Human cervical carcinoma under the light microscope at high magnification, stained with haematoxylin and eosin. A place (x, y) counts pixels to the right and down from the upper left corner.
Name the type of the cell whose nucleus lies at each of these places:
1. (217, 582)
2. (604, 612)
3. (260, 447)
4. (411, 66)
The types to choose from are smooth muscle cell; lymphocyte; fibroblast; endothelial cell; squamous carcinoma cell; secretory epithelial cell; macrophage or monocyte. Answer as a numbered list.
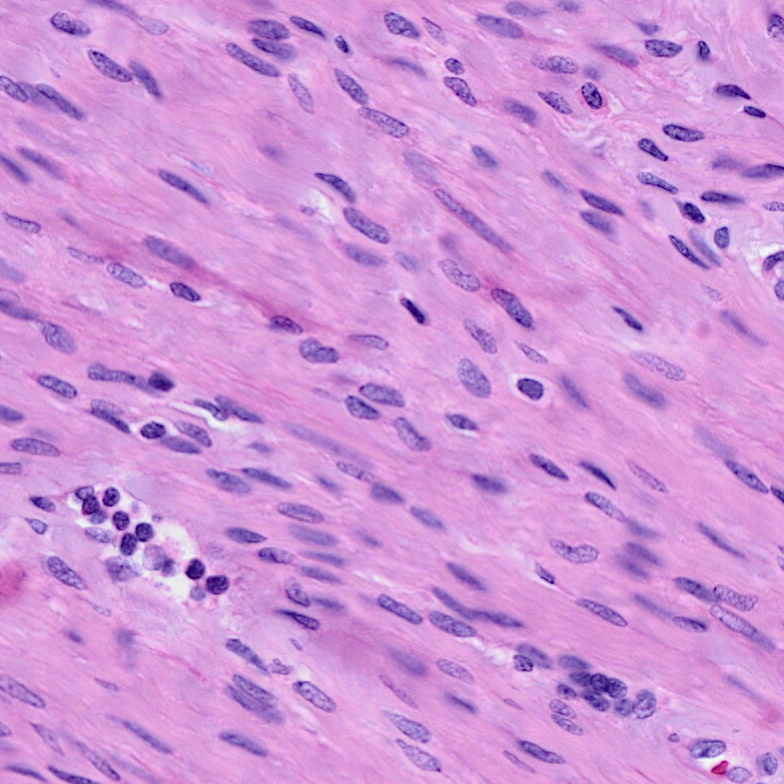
1. lymphocyte
2. fibroblast
3. fibroblast
4. fibroblast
